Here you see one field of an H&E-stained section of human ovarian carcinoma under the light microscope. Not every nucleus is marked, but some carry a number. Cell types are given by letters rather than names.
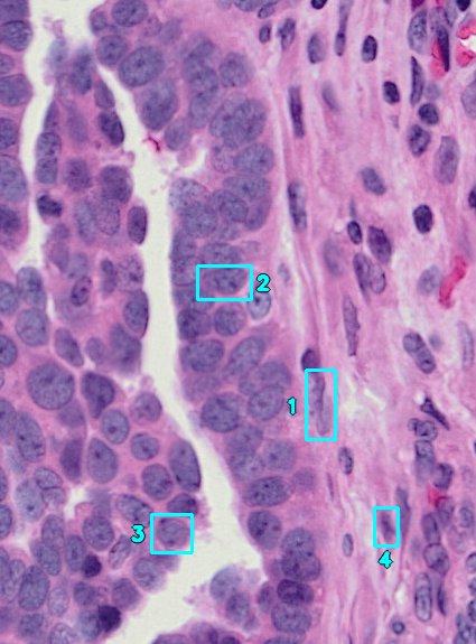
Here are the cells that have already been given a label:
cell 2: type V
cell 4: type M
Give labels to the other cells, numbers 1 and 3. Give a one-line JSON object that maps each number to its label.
{"1": "type M", "3": "type V"}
